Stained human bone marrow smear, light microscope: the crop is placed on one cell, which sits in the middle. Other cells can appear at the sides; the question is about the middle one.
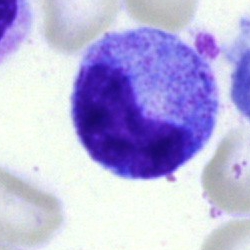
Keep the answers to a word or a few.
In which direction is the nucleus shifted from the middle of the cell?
lower left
